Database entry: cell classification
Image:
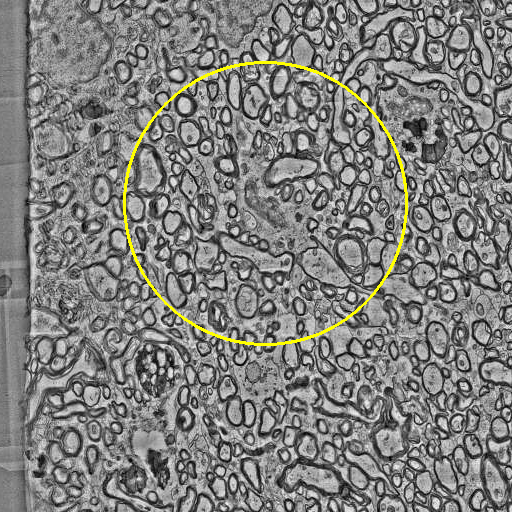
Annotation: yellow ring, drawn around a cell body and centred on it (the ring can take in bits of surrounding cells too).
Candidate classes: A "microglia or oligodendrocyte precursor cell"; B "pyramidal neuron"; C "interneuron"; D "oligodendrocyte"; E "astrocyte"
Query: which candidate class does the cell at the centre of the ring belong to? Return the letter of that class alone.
D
